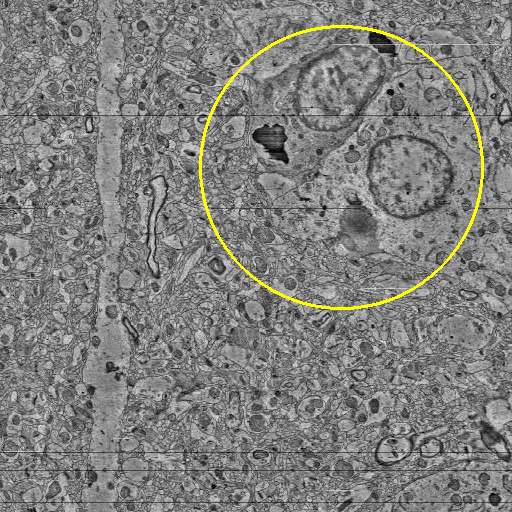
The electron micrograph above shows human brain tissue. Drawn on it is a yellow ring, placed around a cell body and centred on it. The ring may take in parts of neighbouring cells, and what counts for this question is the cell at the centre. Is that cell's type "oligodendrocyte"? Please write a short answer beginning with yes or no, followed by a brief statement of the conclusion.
Yes, its type is the one named.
